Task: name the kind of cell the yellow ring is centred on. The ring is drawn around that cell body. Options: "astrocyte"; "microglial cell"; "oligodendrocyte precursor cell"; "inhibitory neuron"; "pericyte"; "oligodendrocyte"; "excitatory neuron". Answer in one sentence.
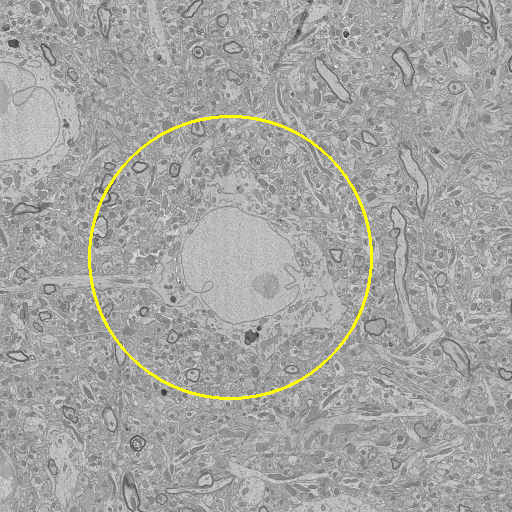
This cell body belongs to an excitatory neuron.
